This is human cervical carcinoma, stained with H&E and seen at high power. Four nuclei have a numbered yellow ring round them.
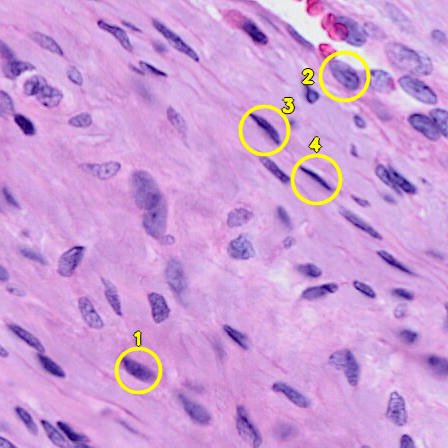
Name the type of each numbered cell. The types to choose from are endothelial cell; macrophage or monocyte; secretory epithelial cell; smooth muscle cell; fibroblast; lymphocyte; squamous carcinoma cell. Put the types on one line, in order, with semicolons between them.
fibroblast; endothelial cell; fibroblast; fibroblast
